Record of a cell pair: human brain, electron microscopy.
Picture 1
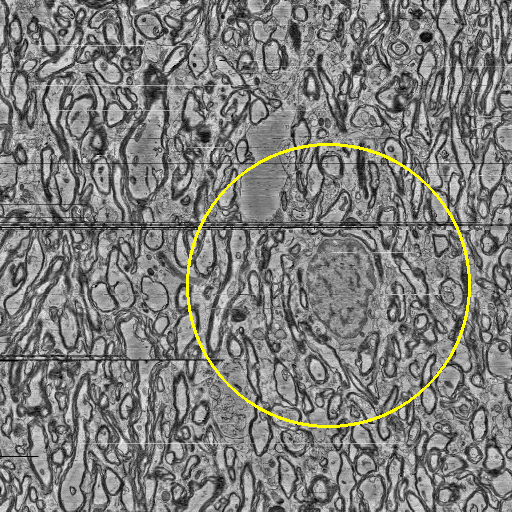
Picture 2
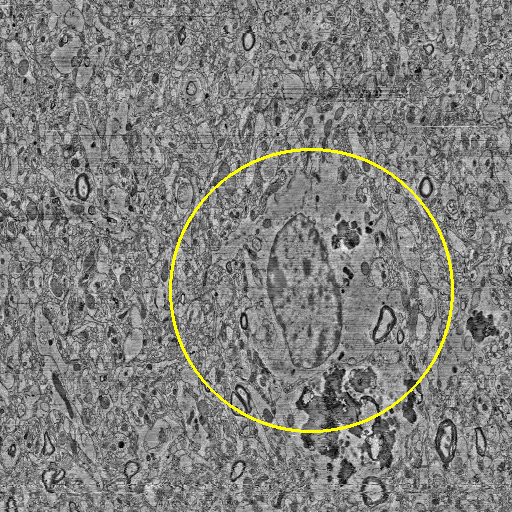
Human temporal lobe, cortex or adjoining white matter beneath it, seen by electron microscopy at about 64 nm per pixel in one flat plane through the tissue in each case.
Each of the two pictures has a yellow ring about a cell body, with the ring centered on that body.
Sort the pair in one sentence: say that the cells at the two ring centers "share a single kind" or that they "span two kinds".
The cells centered in the rings of Pictures 1 and 2 span two kinds.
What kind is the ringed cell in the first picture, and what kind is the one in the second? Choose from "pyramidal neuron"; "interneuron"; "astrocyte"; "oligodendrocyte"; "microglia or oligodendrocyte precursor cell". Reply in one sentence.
The first cell is an oligodendrocyte; the second is an astrocyte.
